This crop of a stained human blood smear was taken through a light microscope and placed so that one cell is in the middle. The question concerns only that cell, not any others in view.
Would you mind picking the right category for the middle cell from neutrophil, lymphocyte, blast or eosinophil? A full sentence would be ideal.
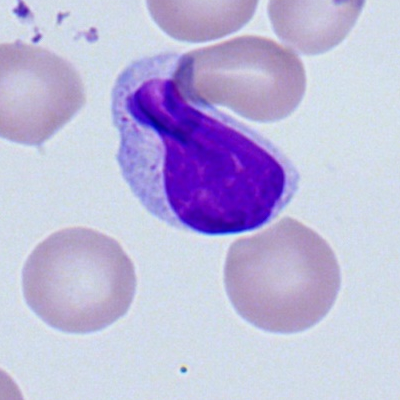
At the middle of the frame sits a lymphocyte.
